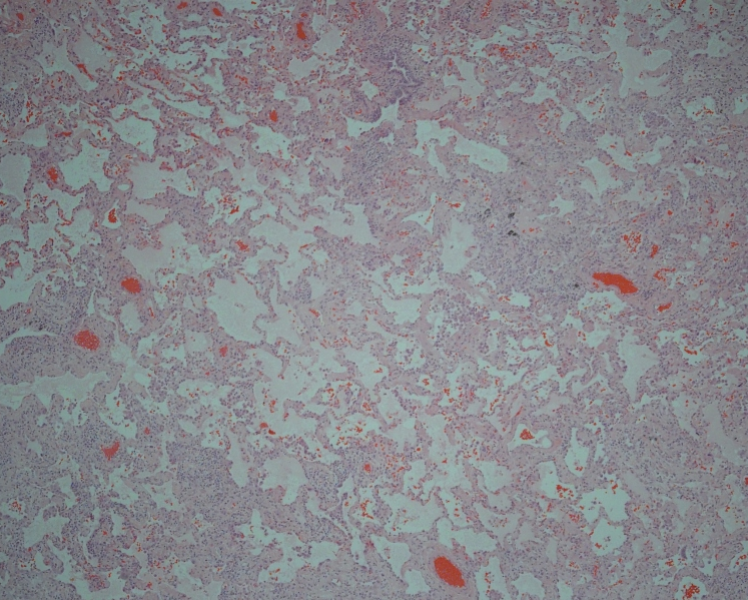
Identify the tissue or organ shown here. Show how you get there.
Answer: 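Many irregular open air spaces separated by thin and thick walls. Small blood vessels filled with red cells lie within the walls. On this evidence: lung.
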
